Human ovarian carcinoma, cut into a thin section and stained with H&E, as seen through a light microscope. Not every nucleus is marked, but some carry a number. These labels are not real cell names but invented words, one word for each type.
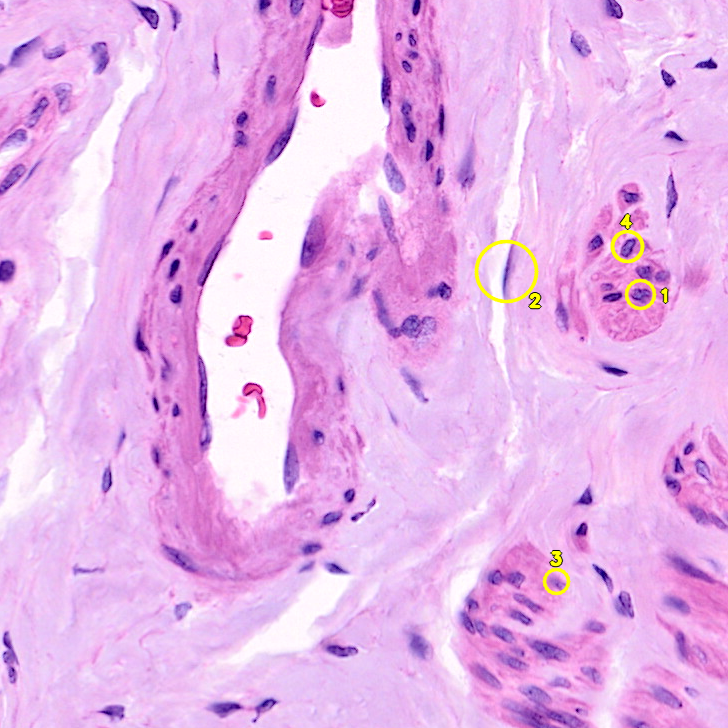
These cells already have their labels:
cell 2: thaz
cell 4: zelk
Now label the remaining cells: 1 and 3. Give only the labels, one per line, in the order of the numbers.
zelk
zelk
